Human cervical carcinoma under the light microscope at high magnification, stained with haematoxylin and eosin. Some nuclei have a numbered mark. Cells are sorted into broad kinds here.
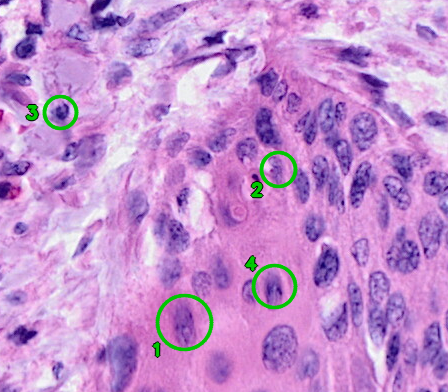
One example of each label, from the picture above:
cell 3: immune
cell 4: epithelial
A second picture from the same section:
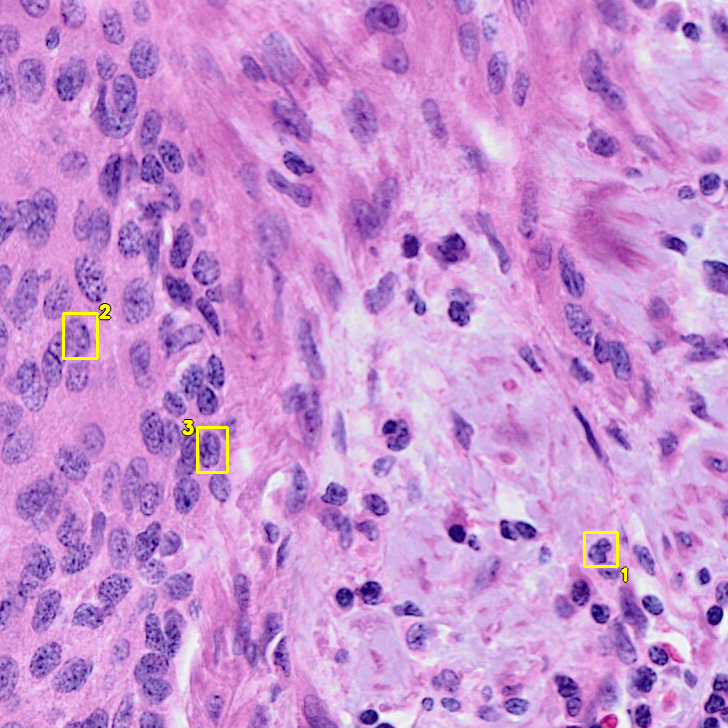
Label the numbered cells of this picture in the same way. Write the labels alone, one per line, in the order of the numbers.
immune
epithelial
epithelial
